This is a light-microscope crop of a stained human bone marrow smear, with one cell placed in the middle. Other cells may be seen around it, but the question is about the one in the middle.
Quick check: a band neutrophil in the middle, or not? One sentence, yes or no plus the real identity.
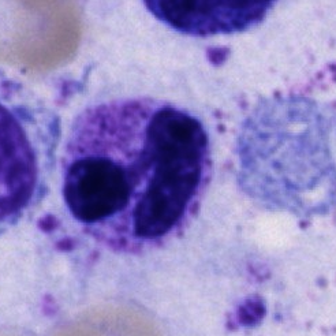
No, looking at the central cell, it is a segmented neutrophil rather than a band neutrophil.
